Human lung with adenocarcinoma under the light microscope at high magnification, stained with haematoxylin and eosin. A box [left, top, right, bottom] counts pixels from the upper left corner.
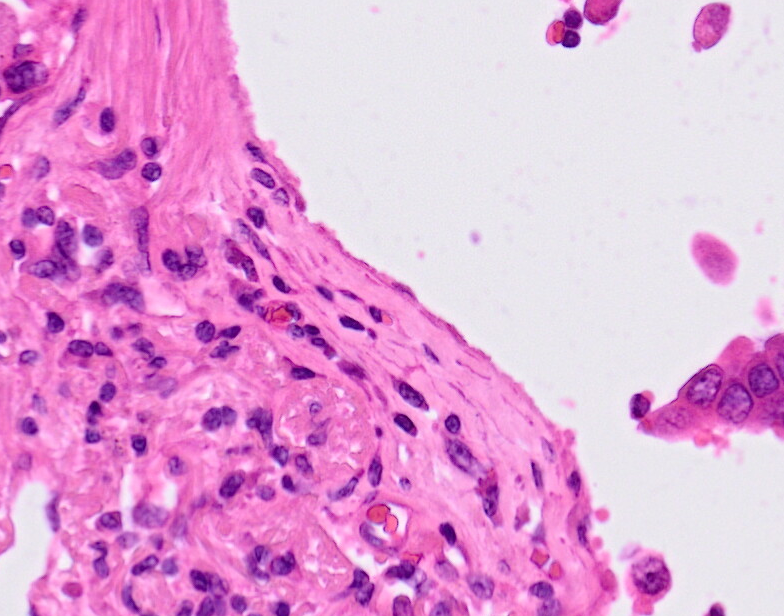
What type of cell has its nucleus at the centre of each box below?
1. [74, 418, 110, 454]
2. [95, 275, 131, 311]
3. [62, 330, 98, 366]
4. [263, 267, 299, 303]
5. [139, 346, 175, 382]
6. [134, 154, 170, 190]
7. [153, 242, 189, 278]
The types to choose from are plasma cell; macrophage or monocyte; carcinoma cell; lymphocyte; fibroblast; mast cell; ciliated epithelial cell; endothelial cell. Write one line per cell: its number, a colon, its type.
1: lymphocyte
2: plasma cell
3: plasma cell
4: plasma cell
5: lymphocyte
6: lymphocyte
7: lymphocyte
